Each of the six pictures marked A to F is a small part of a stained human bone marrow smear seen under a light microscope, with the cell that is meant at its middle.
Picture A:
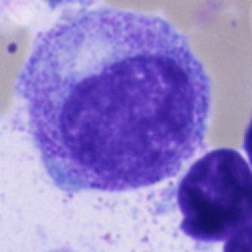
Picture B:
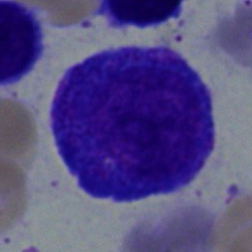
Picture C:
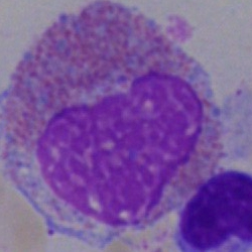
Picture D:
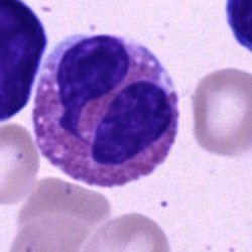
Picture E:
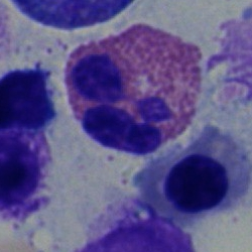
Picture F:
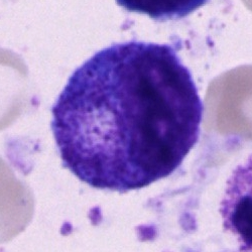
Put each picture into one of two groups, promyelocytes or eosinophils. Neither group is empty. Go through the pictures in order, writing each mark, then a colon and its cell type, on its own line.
A: promyelocyte
B: promyelocyte
C: eosinophil
D: eosinophil
E: eosinophil
F: promyelocyte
